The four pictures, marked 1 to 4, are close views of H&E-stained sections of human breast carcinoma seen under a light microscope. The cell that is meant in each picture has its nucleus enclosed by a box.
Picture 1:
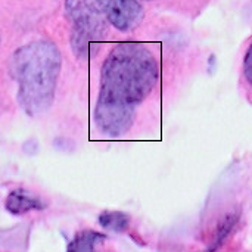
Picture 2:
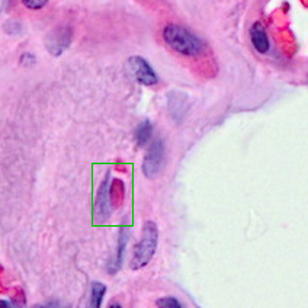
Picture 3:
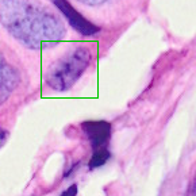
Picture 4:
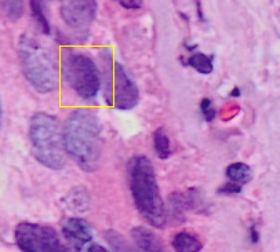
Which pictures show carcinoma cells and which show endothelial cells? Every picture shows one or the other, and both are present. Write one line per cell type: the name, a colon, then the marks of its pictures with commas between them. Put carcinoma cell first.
carcinoma cell: 1, 3, 4
endothelial cell: 2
